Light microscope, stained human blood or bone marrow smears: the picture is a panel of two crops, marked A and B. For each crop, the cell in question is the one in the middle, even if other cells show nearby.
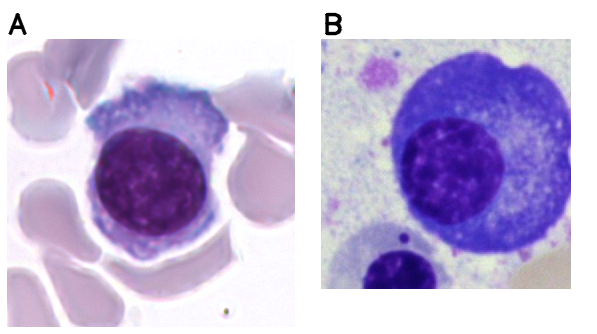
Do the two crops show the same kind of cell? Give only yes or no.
yes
